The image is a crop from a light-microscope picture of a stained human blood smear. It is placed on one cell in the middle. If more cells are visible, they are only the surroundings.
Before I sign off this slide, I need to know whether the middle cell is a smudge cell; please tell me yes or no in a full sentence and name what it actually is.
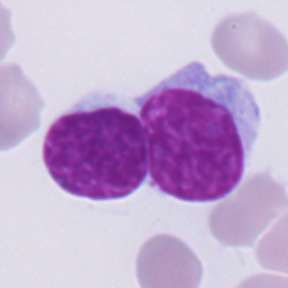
No, the cell at the centre is identified as a myeloblast, not as a smudge cell.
